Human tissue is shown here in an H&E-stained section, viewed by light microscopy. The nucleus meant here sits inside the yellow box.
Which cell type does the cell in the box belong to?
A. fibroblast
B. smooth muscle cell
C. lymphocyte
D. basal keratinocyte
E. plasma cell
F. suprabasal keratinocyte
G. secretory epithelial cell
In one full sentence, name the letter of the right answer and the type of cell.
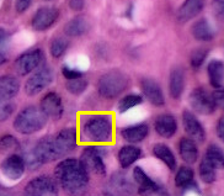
Option D is correct here; the cell in the box is a basal keratinocyte.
